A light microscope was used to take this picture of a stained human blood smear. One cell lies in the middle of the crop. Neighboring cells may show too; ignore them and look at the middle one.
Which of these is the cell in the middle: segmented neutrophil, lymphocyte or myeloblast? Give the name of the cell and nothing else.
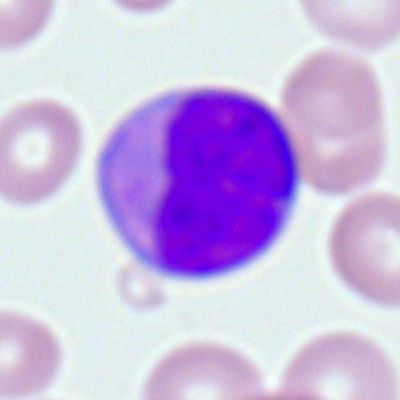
myeloblast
